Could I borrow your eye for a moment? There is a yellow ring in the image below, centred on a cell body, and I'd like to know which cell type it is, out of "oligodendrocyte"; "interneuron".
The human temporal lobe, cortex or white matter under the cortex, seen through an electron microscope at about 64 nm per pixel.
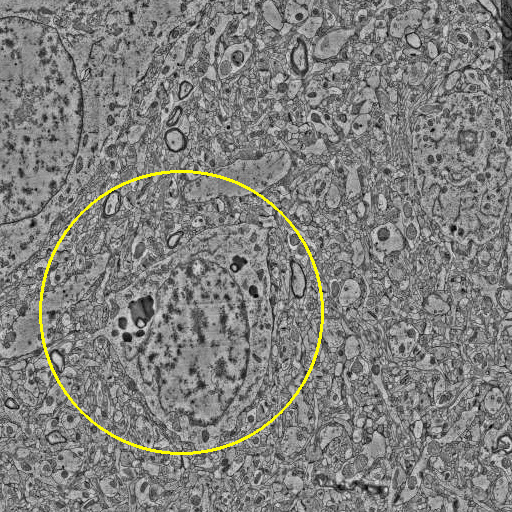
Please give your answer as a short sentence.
The cell body at the centre is that of an interneuron.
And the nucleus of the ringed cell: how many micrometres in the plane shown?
The ringed cell's nucleus measures approximately 11 by 7 micrometres in this plane.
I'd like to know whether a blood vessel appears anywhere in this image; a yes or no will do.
No, the picture includes no blood vessel.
